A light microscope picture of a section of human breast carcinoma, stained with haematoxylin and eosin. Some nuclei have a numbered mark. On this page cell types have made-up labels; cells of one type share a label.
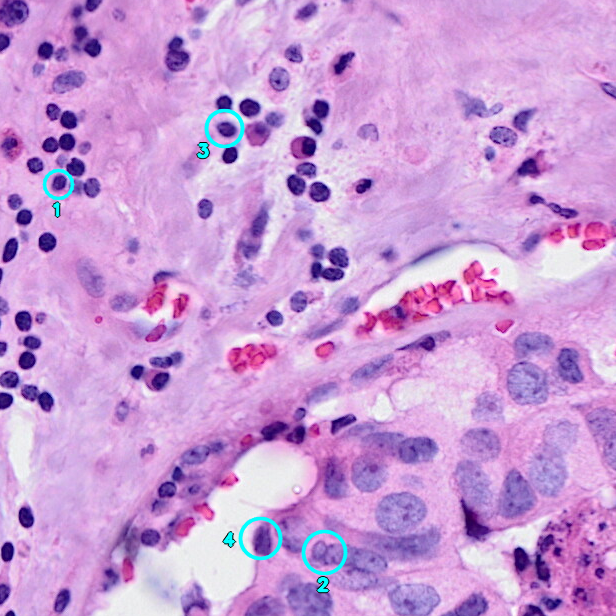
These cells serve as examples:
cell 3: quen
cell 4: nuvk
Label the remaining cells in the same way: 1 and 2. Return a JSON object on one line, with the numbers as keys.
{"1": "quen", "2": "nuvk"}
